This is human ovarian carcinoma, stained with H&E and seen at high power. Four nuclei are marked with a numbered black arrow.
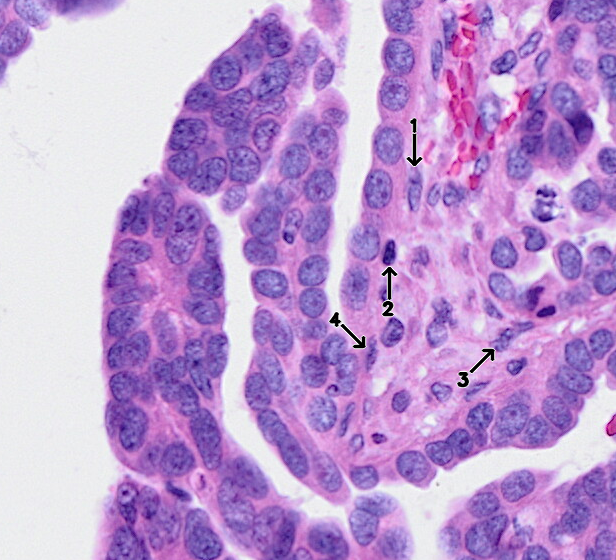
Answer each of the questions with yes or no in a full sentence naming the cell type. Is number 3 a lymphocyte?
No, it's not a lymphocyte at number 3; that cell is a fibroblast.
